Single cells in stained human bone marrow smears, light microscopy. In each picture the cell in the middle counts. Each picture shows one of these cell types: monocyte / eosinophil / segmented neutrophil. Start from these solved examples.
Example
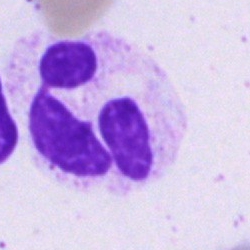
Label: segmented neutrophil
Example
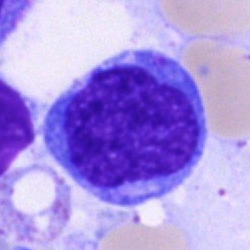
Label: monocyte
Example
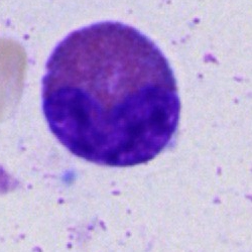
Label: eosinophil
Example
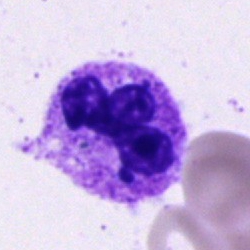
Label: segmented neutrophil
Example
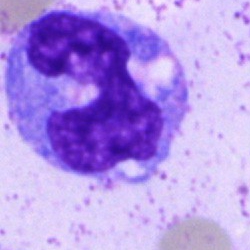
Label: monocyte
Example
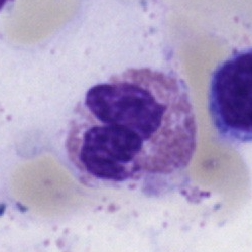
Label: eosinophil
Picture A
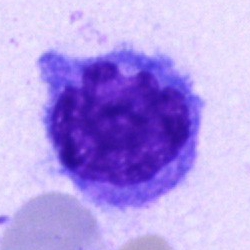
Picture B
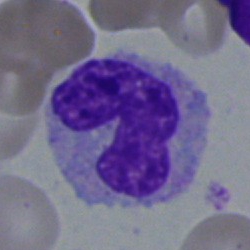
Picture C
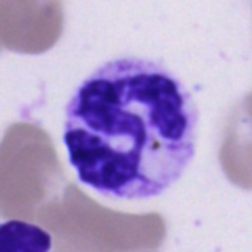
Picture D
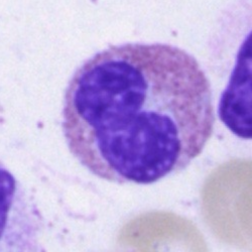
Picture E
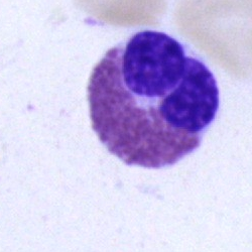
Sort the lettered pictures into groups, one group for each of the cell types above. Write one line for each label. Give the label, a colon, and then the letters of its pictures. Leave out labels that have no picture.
monocyte: A, B
eosinophil: D, E
segmented neutrophil: C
